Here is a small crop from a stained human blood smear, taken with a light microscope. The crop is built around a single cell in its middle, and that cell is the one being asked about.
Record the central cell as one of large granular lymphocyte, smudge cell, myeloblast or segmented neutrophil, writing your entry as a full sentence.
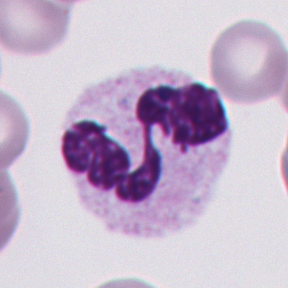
The cell occupying the middle of the crop is a segmented neutrophil.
